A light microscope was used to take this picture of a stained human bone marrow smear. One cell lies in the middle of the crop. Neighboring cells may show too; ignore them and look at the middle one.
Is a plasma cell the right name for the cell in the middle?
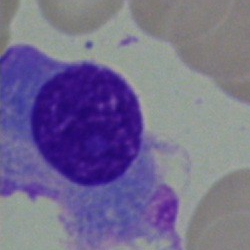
yes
